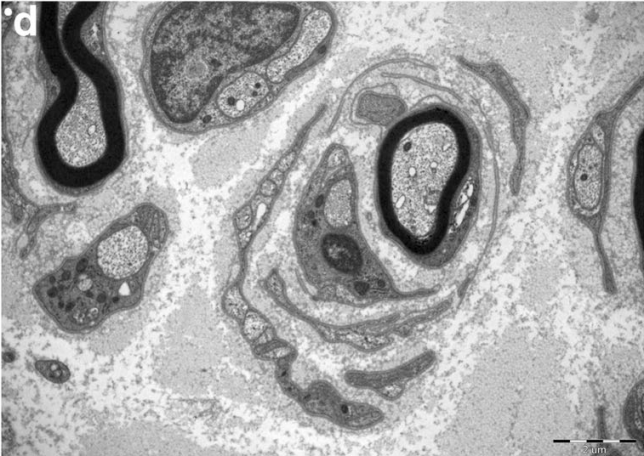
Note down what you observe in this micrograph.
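Higher-magnification transverse electron micrograph of peripheral nerve fibres showing myelinated axons and Schwann cells. Each myelinated axon has a thick, dark, compact myelin sheath with an irregular, bent outline around pale axoplasm. Near the top, a Schwann cell nucleus with clumped chromatin lies beside a myelinated fibre. In the centre, a myelinated fibre and small axons are encircled by several thin, flattened concentric cytoplasmic processes. Small unmyelinated axons with pale axoplasm and scattered organelles lie in the surrounding pale endoneurial matrix.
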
